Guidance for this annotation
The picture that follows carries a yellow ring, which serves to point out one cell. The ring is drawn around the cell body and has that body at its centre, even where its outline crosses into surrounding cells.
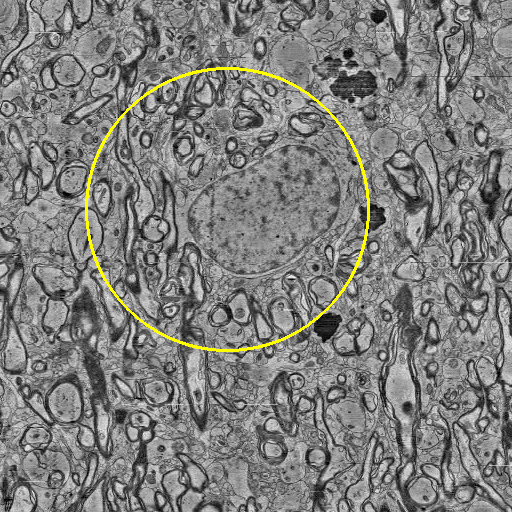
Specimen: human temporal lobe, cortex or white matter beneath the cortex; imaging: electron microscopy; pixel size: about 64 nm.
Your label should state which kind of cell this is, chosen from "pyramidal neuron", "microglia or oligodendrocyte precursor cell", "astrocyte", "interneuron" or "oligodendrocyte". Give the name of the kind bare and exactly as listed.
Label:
microglia or oligodendrocyte precursor cell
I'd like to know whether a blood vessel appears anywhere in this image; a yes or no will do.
No, no blood vessel can be seen.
